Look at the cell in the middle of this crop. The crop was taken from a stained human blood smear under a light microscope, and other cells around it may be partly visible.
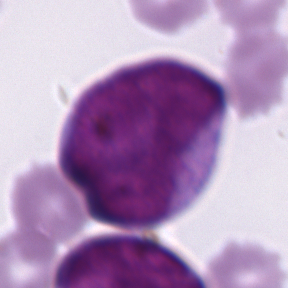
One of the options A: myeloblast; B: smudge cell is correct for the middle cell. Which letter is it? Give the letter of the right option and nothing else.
A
